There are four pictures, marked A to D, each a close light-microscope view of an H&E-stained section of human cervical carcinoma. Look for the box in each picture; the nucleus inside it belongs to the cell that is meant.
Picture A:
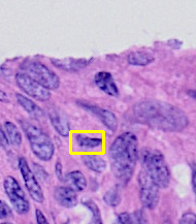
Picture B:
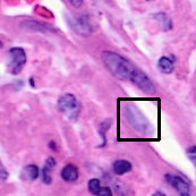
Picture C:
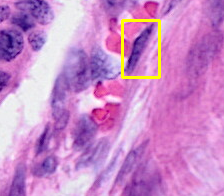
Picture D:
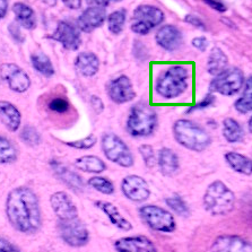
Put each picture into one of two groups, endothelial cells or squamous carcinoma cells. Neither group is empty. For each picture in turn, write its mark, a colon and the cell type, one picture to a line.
A: squamous carcinoma cell
B: endothelial cell
C: endothelial cell
D: squamous carcinoma cell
